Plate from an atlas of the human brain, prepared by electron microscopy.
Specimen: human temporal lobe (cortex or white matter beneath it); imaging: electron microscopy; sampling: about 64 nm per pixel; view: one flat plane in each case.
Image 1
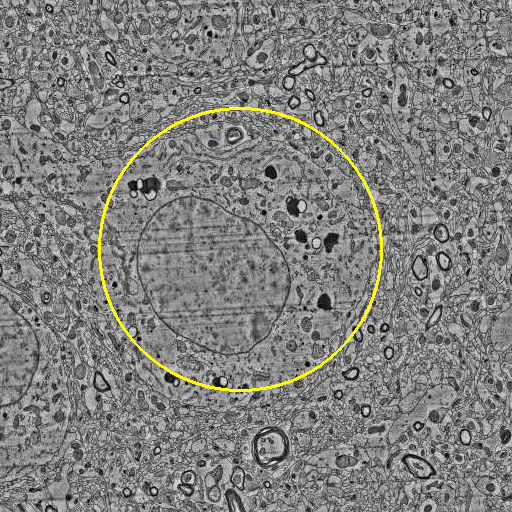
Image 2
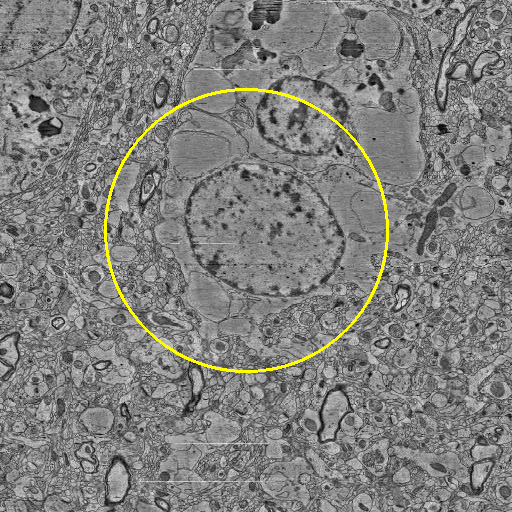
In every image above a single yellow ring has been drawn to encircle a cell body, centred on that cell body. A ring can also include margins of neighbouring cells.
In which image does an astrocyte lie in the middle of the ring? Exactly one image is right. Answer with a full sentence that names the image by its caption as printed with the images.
Image 2 holds the requested cell at the very centre of its ring.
